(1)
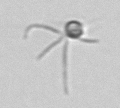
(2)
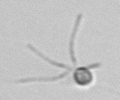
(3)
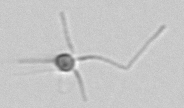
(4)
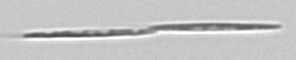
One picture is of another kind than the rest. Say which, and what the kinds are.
Picture 4 shows Pseudo-nitzschia; the rest show Ophiaster.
